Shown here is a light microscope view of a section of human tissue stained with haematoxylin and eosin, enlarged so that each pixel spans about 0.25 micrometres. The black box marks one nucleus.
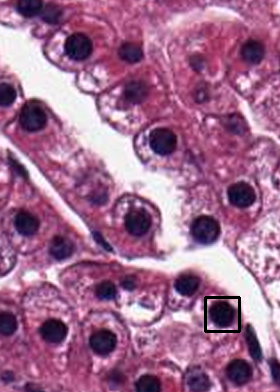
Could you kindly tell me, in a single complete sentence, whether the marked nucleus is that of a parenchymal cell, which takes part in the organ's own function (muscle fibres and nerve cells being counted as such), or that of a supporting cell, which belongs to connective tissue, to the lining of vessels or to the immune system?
The marked nucleus is attributed to a parenchymal cell, namely an adrenal cortical cell.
